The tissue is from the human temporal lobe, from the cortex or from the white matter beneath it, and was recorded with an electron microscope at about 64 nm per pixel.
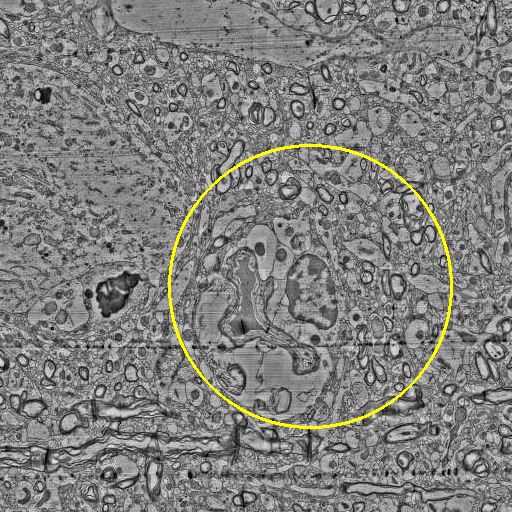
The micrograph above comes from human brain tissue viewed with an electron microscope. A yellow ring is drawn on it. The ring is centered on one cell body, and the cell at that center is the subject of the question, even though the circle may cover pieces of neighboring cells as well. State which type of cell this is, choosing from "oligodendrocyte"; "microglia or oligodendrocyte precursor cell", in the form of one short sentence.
The cell the ring is centered on is a microglial cell or oligodendrocyte precursor cell.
